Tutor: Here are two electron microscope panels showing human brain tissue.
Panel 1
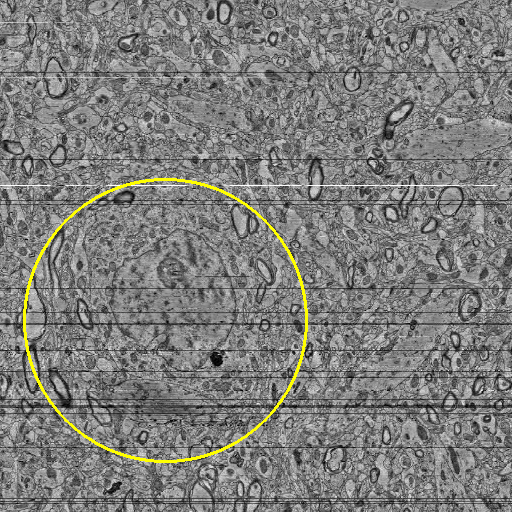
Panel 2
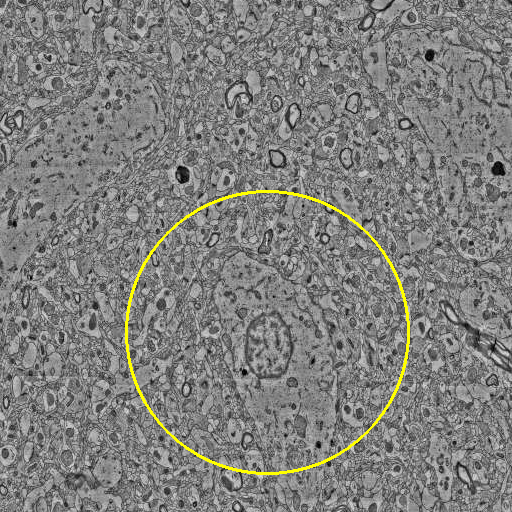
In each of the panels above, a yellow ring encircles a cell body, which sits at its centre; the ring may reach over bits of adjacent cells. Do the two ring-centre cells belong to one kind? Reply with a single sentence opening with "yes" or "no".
No, the two cells sitting at the ring centres in the panels belong to two kinds.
